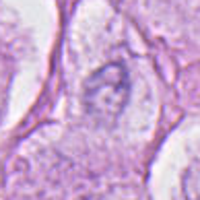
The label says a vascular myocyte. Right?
Wrong: this is a maternal decidual cell.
